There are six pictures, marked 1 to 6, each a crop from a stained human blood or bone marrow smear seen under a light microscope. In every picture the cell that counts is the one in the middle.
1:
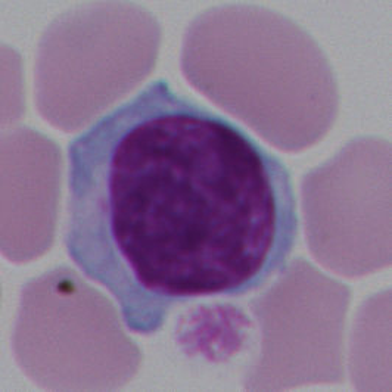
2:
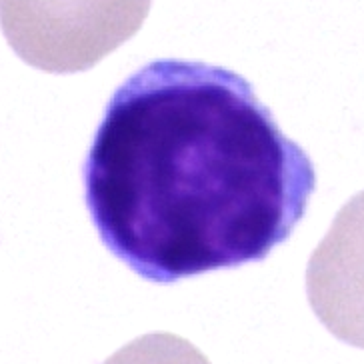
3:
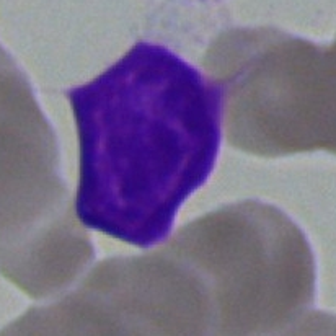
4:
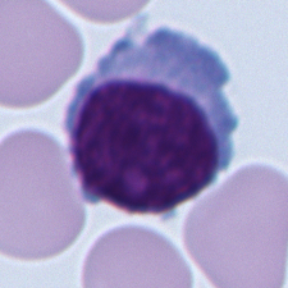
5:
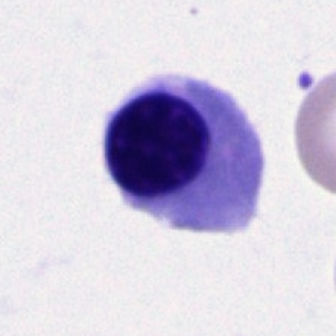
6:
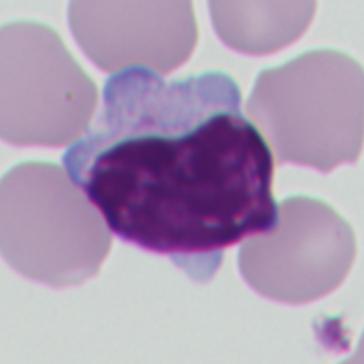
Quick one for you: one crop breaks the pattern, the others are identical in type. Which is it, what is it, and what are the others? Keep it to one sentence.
All of the other crops show lymphocytes, while crop 5 shows an erythroblast instead.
